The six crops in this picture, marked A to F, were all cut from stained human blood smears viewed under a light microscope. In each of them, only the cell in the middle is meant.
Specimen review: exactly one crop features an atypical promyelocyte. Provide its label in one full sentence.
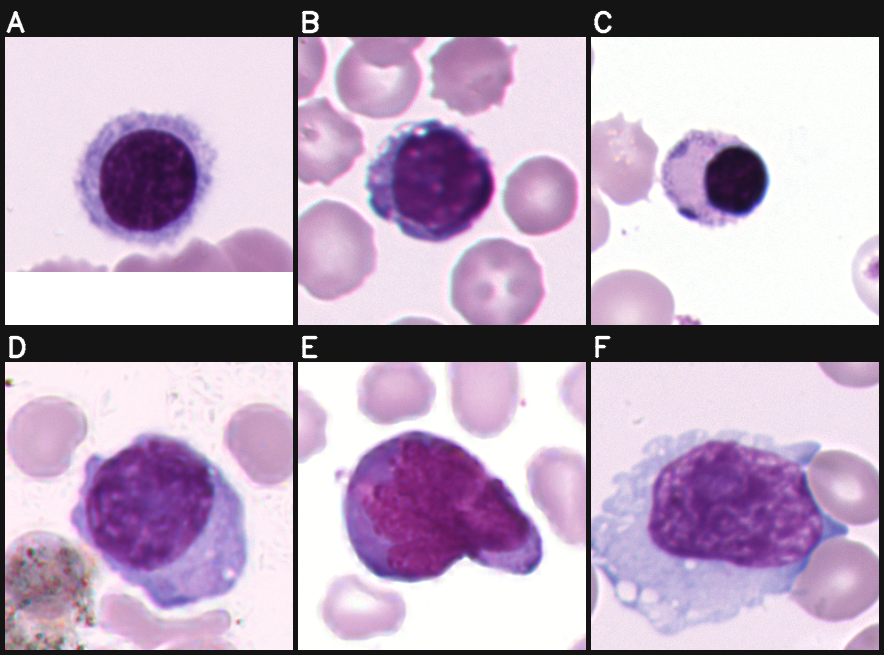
Crop E is the one in the set with an atypical promyelocyte at the center.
